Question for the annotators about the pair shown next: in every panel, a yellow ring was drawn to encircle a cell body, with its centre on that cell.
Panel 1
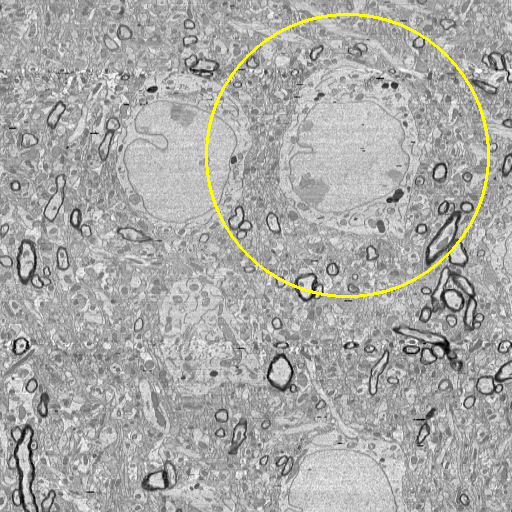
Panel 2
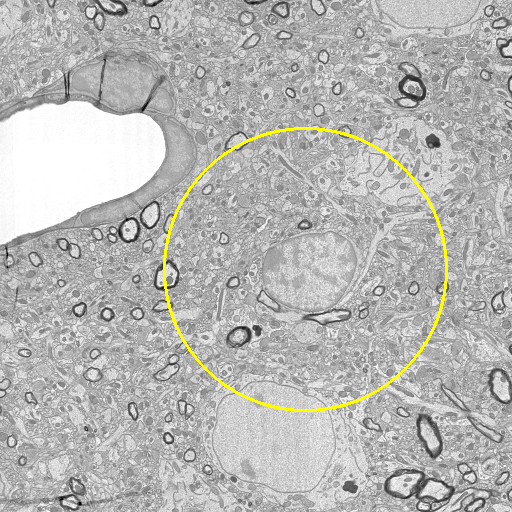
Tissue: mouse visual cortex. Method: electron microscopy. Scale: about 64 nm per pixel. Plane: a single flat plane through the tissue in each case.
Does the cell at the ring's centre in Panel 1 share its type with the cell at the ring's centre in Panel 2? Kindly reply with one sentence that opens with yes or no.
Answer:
No, in Panels 1 and 2 the cells at the ring centres belong to separate types.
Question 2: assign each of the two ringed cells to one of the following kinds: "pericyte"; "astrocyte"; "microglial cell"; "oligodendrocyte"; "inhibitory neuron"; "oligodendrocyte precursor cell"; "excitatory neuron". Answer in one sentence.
The two cells are an excitatory neuron in the first picture and an oligodendrocyte in the second.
